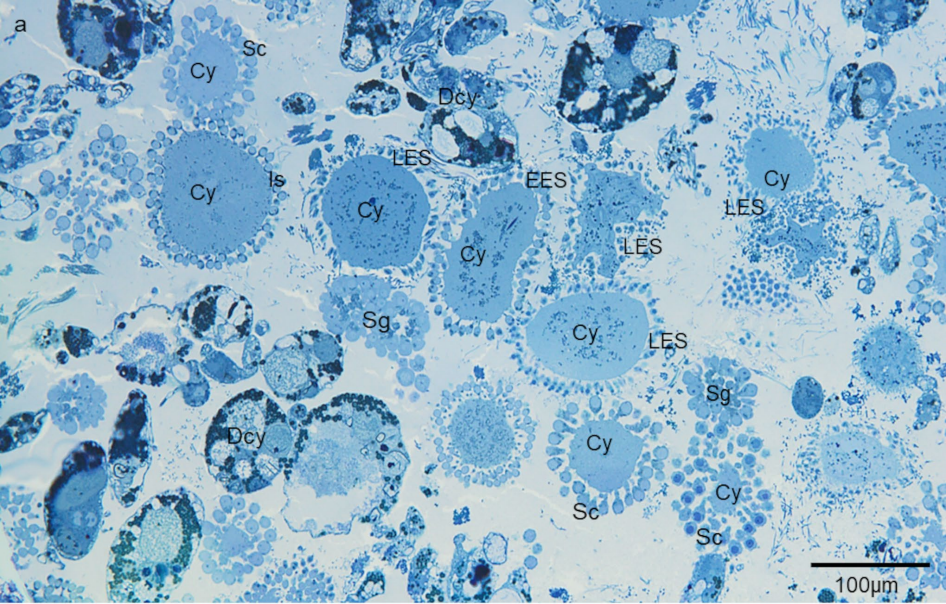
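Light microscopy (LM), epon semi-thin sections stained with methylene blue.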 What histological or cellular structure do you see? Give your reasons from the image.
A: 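Many rounded clusters, each with a large pale central mass ringed by small cells. The clusters lie separately in the lumen, at differing states of development. So: Germline cysts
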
